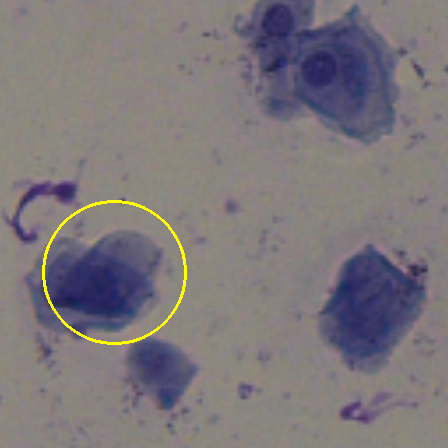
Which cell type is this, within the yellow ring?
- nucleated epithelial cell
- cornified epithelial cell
Within the ring is a cornified epithelial cell.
